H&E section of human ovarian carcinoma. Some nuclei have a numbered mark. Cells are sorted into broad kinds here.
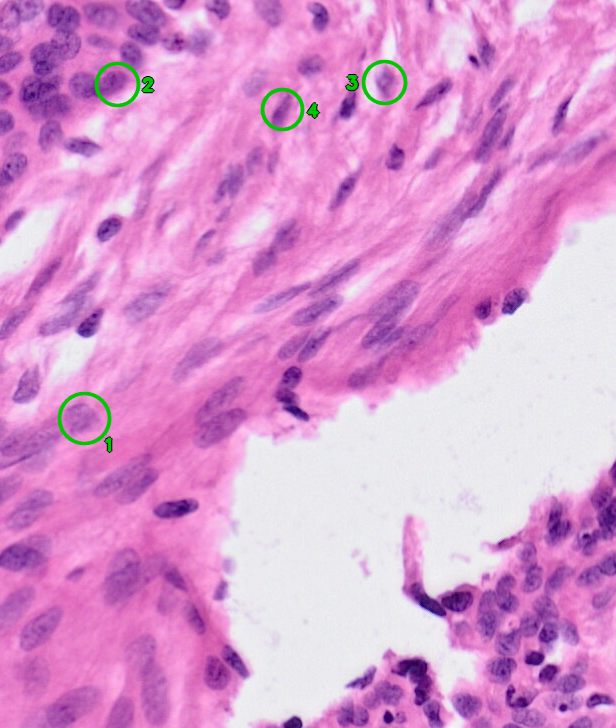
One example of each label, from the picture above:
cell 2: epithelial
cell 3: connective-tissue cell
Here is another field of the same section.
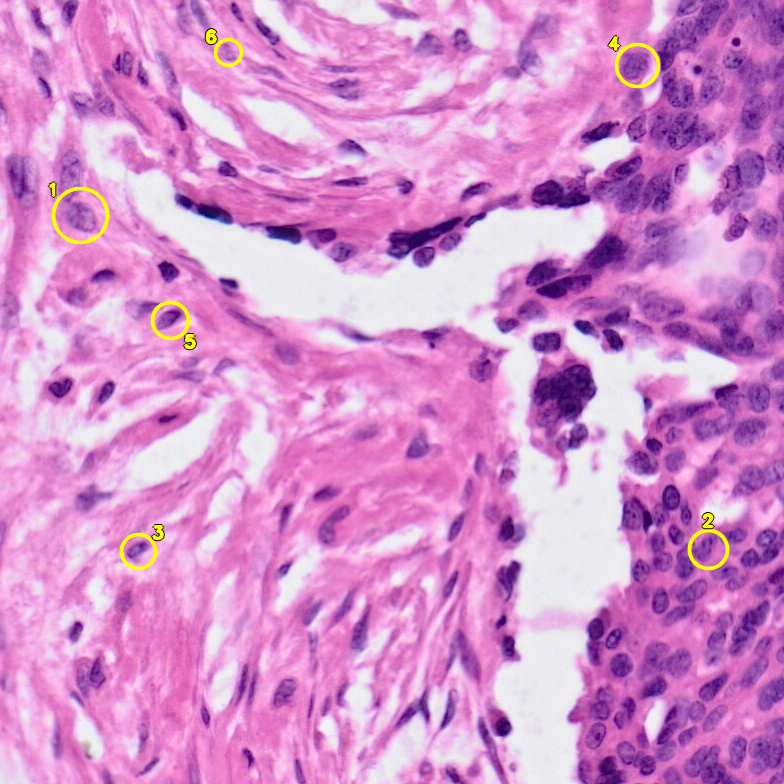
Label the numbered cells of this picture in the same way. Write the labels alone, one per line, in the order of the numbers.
connective-tissue cell
epithelial
connective-tissue cell
epithelial
connective-tissue cell
connective-tissue cell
